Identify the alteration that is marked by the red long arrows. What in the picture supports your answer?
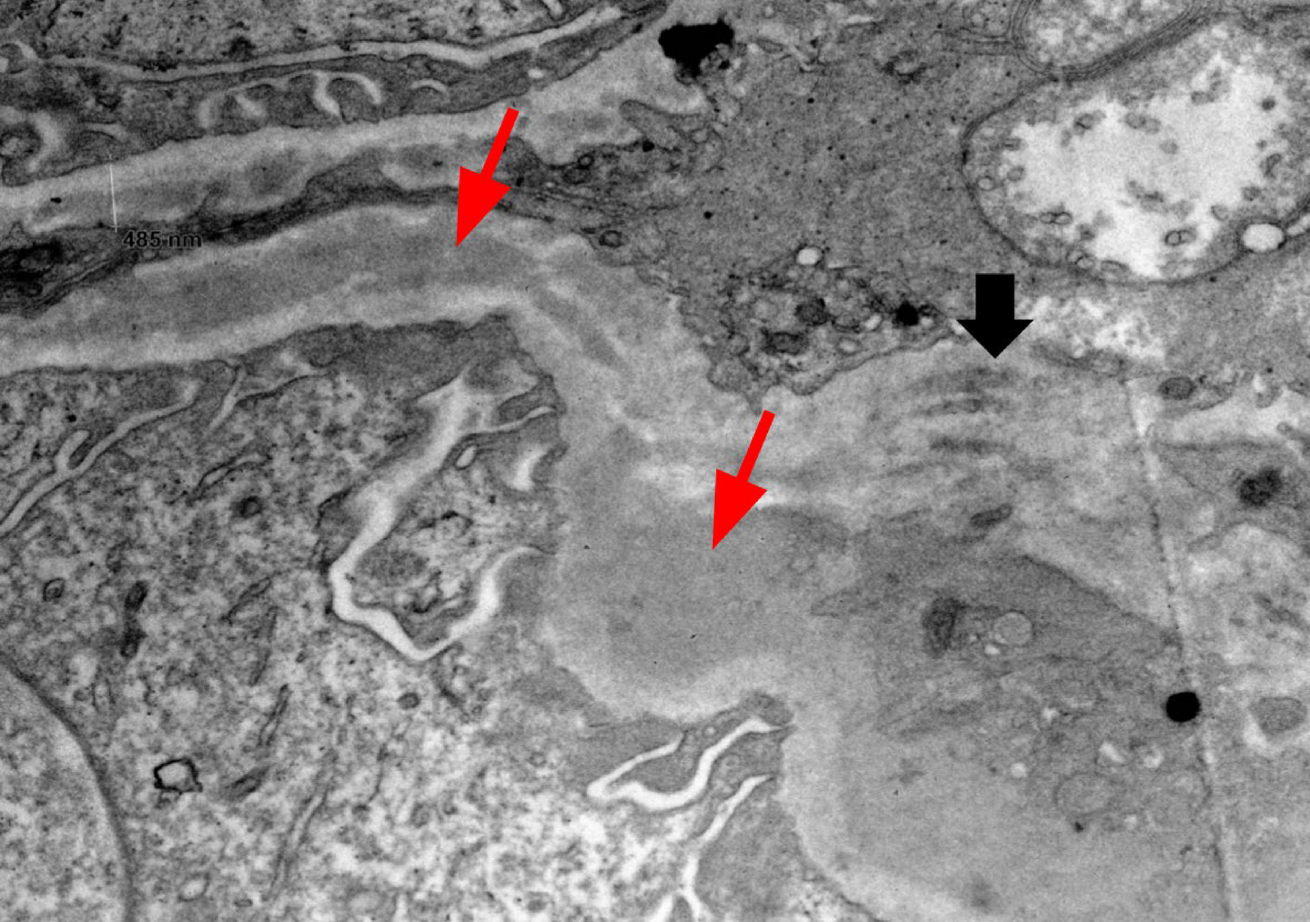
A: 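The red arrows point to a broad band of homogeneous, amorphous grey material. This material is smoother and more uniform in texture than the neighbouring cell cytoplasm. The material lies between cell layers along an elongated wall-like structure. So: electron dense deposits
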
